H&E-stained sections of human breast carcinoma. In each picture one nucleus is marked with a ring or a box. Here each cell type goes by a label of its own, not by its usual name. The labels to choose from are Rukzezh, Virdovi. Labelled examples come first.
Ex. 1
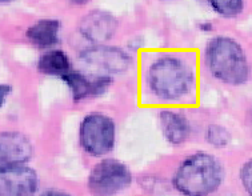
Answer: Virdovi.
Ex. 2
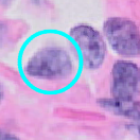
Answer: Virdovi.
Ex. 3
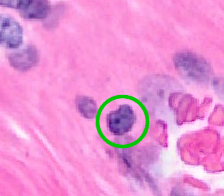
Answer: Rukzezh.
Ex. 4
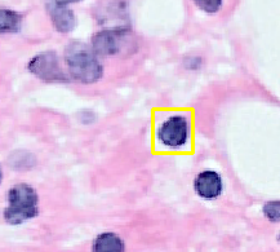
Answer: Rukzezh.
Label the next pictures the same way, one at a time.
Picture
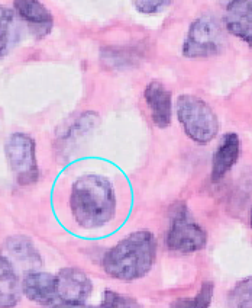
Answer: Virdovi.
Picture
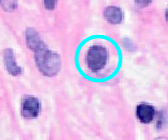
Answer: Rukzezh.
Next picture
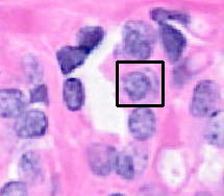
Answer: Virdovi.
